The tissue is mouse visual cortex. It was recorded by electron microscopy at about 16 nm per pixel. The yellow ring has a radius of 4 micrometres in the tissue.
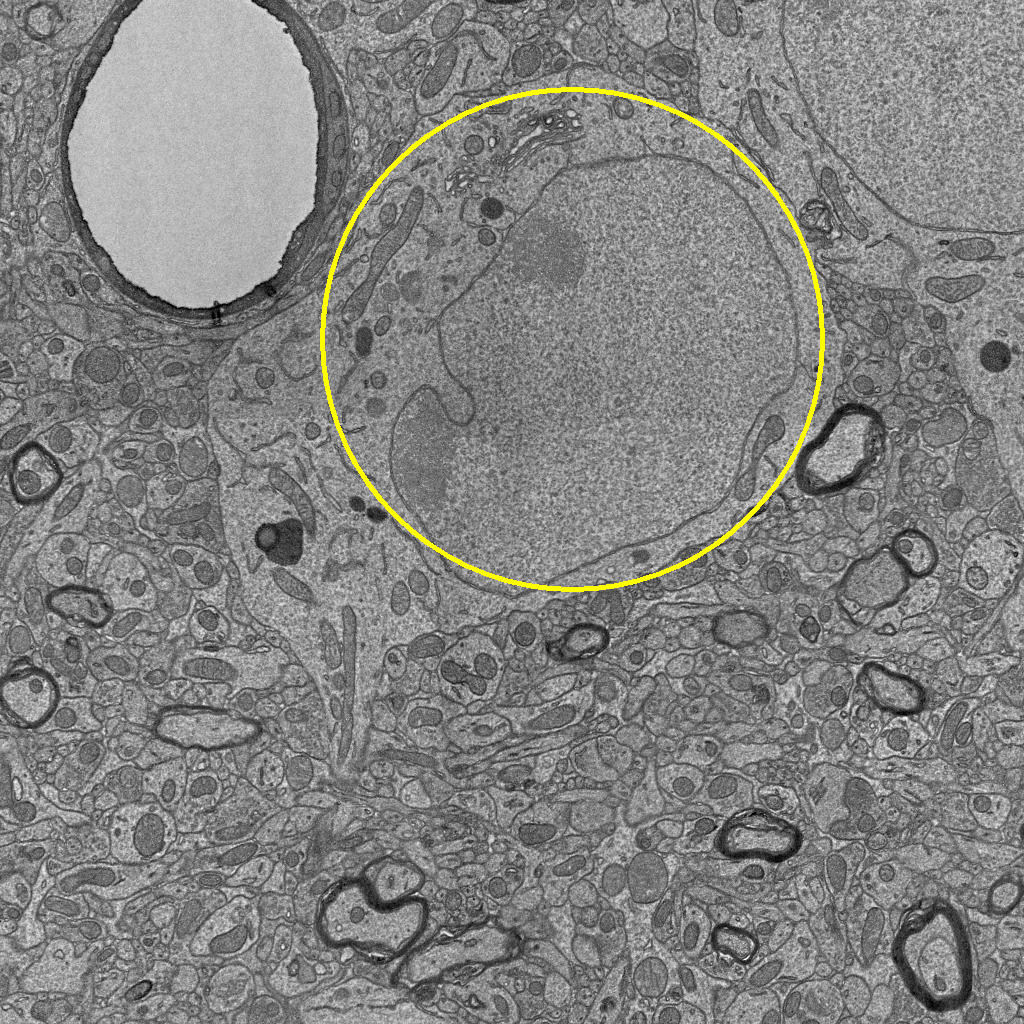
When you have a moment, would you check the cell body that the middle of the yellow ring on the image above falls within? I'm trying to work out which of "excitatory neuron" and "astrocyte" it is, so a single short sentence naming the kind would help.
This cell body belongs to an excitatory neuron.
